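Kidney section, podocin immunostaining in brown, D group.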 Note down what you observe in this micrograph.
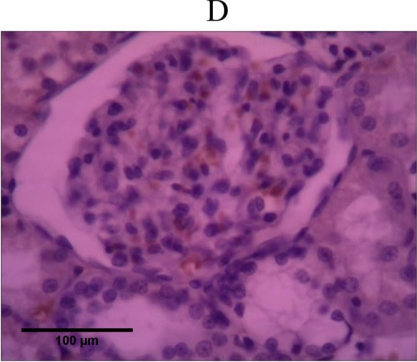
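A renal glomerulus is shown with a crowded tuft of blue-purple nuclei, separated from the capsule by a wide clear space and surrounded by tubules. Brown staining in the tuft is sparse and faint.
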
